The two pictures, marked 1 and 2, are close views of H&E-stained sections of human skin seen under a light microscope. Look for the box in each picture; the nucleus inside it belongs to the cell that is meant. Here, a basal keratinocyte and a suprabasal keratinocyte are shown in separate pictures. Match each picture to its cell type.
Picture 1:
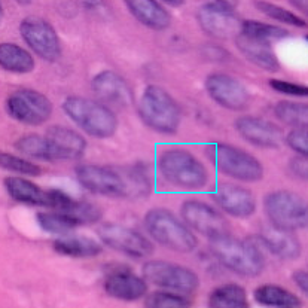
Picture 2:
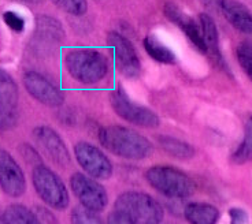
1: suprabasal keratinocyte
2: basal keratinocyte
